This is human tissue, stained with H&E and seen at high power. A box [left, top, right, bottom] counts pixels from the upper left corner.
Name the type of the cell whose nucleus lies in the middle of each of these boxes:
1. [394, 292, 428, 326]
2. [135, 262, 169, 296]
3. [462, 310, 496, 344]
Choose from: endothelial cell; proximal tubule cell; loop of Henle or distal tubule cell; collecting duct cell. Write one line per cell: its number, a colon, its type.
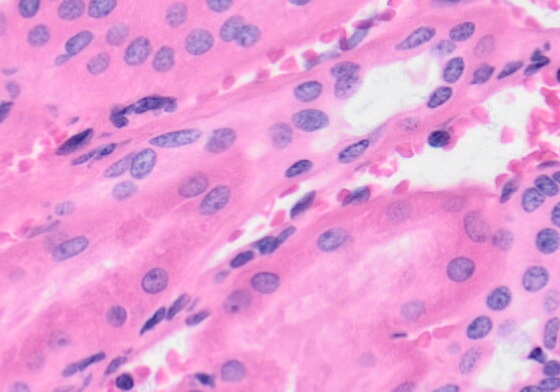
1: proximal tubule cell
2: proximal tubule cell
3: collecting duct cell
